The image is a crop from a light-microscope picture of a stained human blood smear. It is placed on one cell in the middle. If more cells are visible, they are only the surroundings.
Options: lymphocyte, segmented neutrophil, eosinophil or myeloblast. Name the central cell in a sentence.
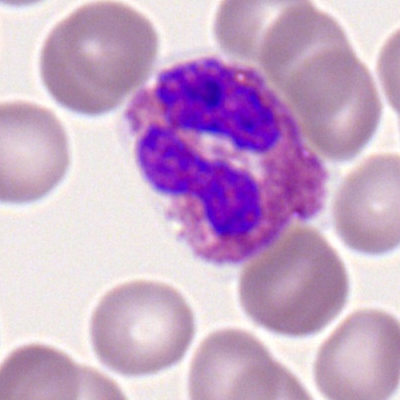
Here the centrally located cell is an eosinophil.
